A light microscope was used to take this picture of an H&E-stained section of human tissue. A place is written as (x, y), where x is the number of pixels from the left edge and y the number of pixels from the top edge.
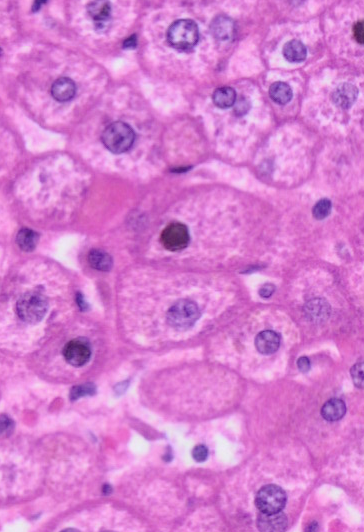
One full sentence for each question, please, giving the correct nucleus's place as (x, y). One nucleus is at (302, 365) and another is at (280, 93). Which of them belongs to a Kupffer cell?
The nucleus belonging to a Kupffer cell is the one at (302, 365).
